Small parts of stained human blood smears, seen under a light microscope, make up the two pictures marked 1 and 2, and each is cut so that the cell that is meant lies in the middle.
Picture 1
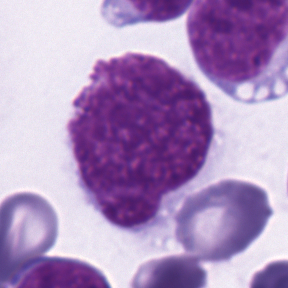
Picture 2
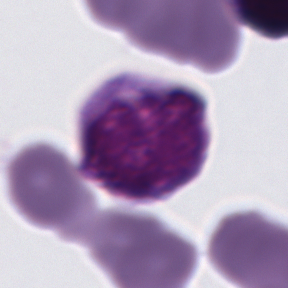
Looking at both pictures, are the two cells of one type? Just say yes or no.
yes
